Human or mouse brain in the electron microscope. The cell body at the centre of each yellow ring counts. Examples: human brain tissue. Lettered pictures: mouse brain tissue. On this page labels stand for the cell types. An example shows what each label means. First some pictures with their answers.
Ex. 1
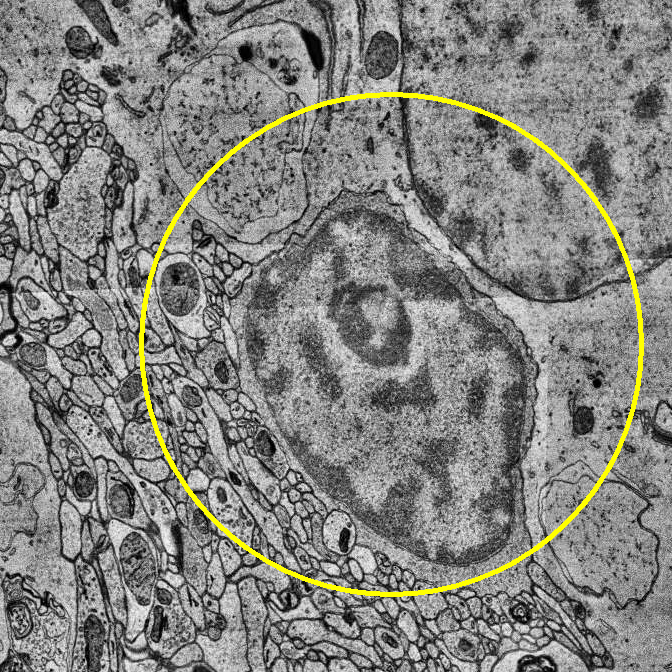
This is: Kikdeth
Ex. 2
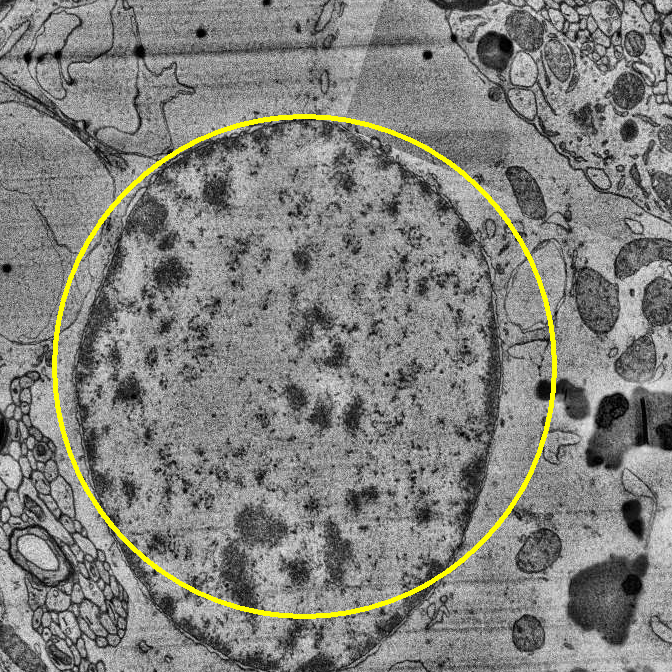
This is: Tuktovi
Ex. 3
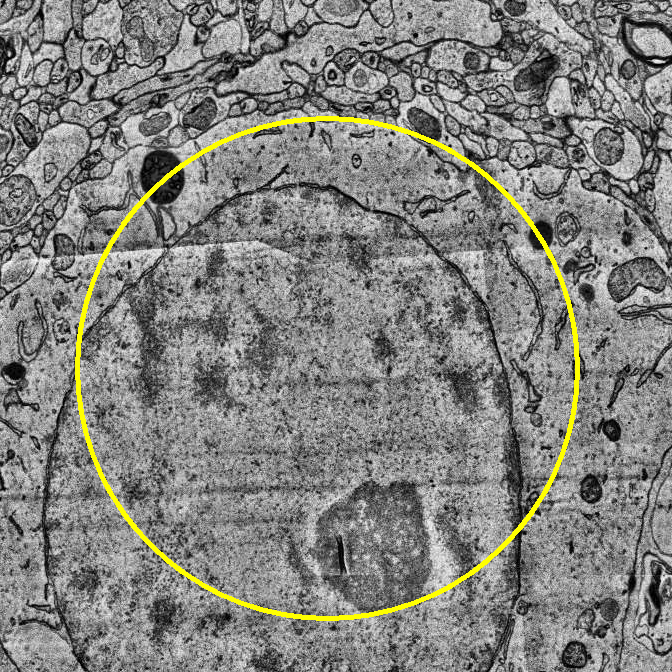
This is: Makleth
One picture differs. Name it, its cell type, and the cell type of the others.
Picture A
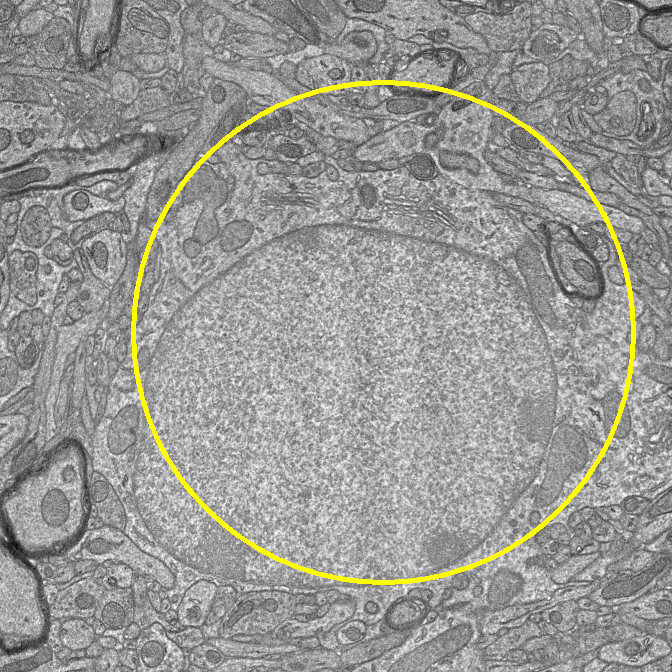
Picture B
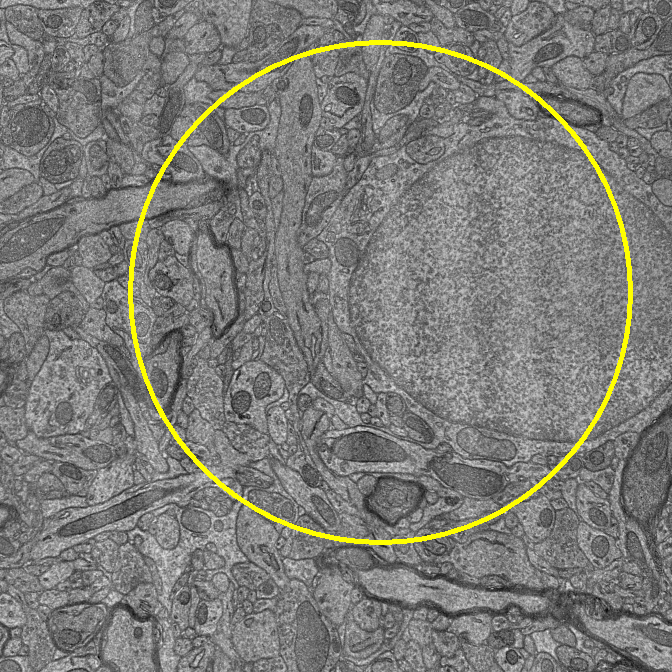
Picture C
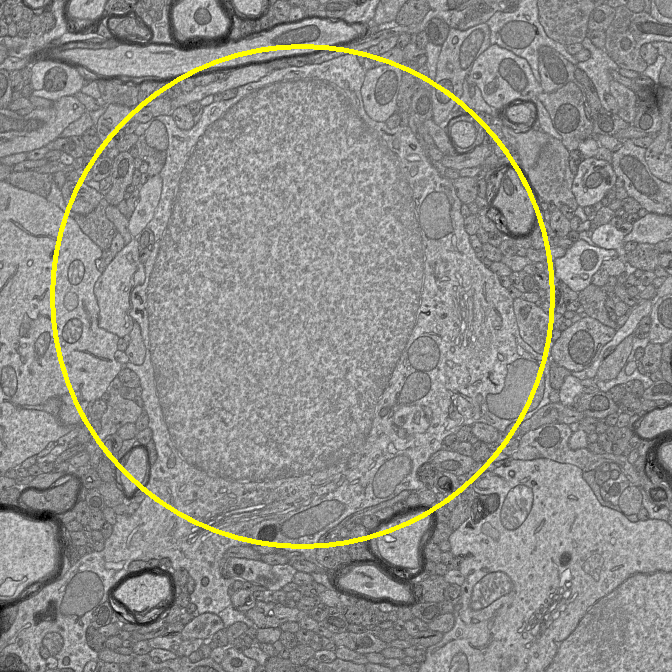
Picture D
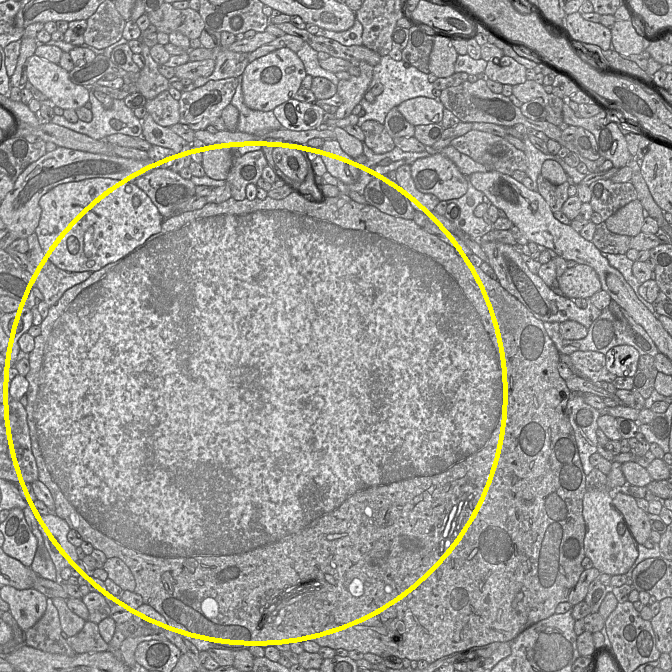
Different: D, Kikdeth. Others: Tuktovi.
